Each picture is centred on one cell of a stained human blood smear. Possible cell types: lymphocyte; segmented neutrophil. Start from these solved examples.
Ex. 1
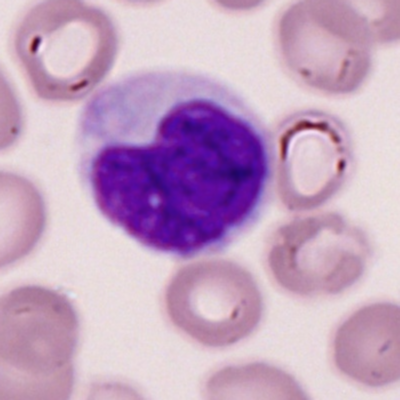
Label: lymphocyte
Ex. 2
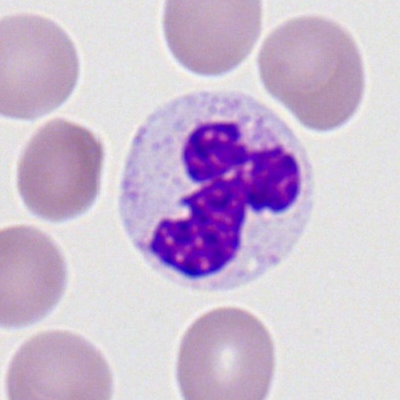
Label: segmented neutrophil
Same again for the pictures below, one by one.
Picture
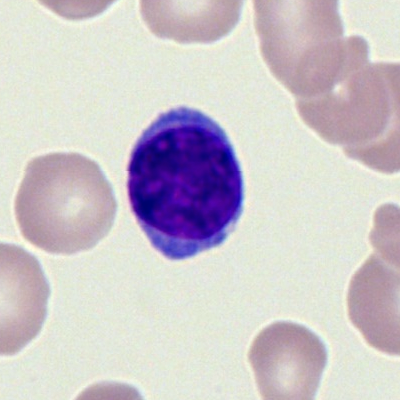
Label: lymphocyte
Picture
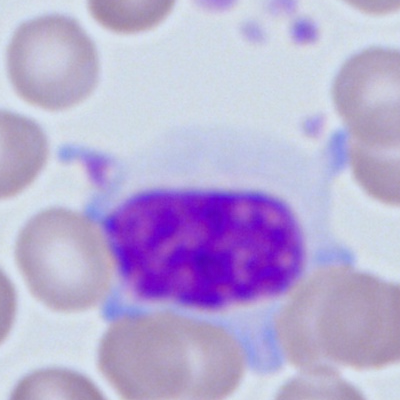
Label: lymphocyte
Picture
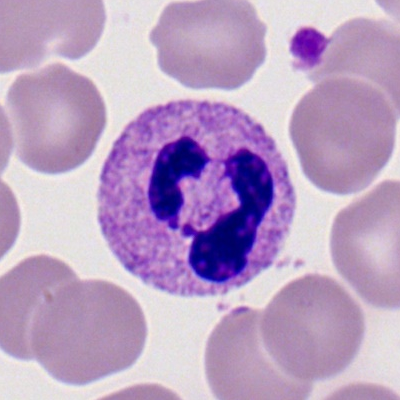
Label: segmented neutrophil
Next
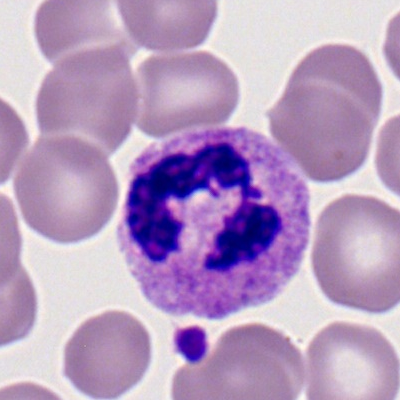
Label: segmented neutrophil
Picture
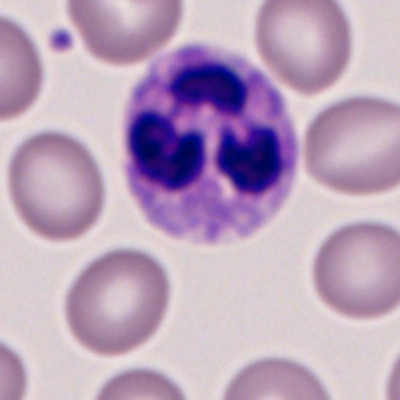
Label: segmented neutrophil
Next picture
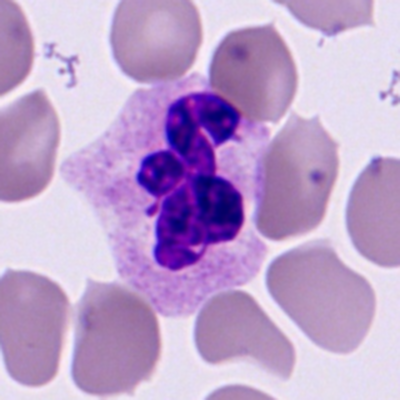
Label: segmented neutrophil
